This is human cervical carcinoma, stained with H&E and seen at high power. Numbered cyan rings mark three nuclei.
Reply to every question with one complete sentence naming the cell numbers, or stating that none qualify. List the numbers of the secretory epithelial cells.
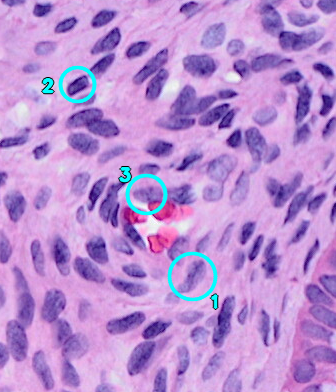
The group of numbered cells contains no secretory epithelial cells.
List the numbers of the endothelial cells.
The cell bearing the number 3 is an endothelial cell, unlike the rest of the numbered cells.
